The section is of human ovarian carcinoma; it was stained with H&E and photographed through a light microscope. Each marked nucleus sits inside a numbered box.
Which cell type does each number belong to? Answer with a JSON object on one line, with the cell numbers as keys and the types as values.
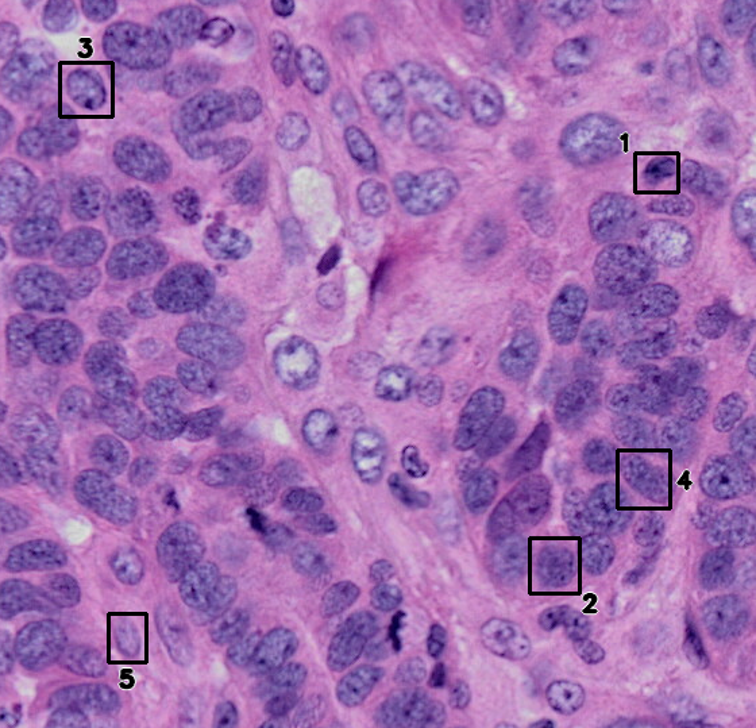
{"1": "lymphocyte", "2": "carcinoma cell", "3": "macrophage or monocyte", "4": "carcinoma cell", "5": "fibroblast"}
